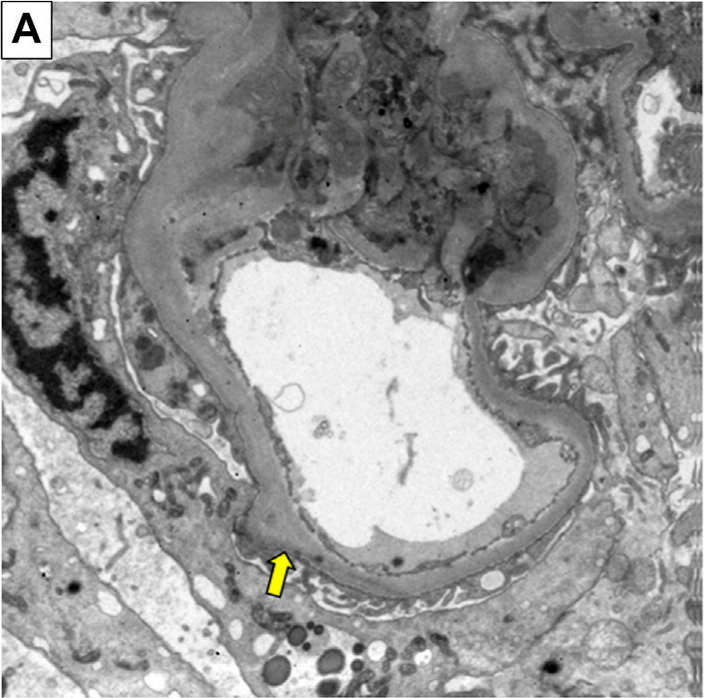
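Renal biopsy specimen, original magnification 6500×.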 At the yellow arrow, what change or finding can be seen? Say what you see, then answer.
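A broad grey band wraps around the pale capillary lumen. The band's width varies along the loop and is wide where the arrow points. Foot processes sit on the outer side of the band.
Hence: Irregular thickening of the glomerular basement membrane.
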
